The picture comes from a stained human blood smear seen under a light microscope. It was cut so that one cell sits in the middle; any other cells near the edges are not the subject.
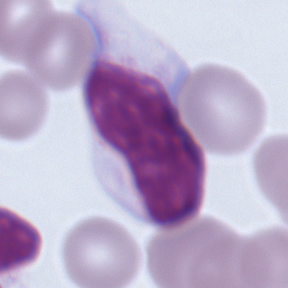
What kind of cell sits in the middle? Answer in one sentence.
The cell of interest, located centrally, is a large granular lymphocyte.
